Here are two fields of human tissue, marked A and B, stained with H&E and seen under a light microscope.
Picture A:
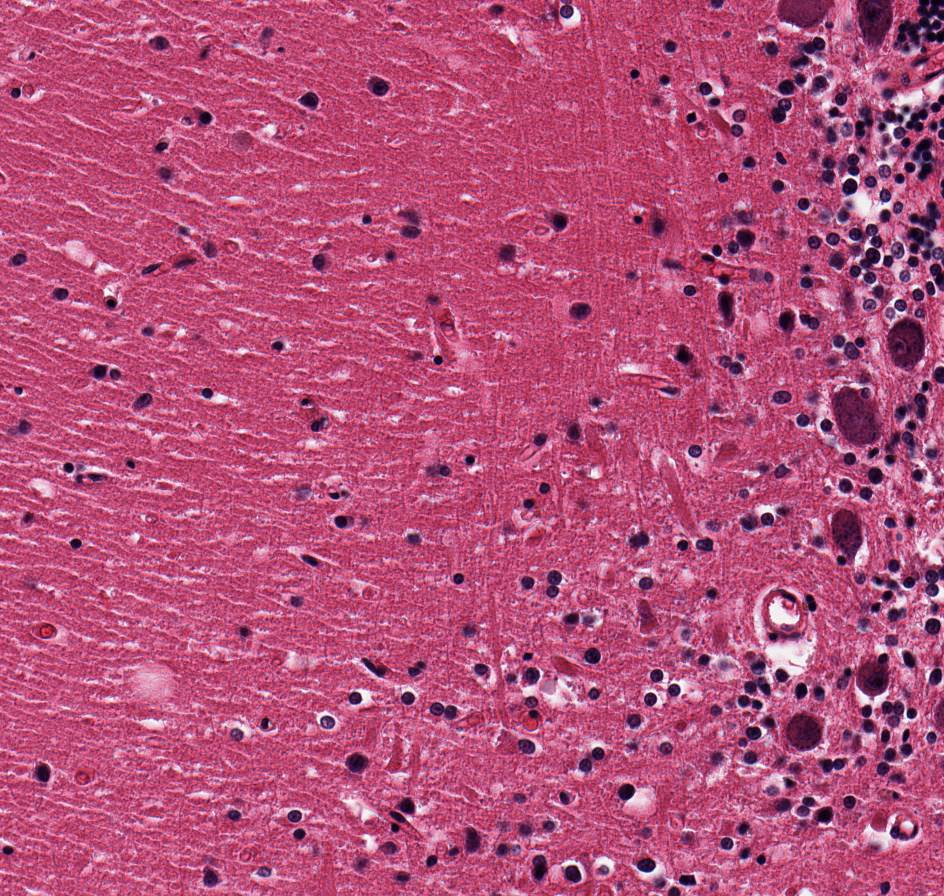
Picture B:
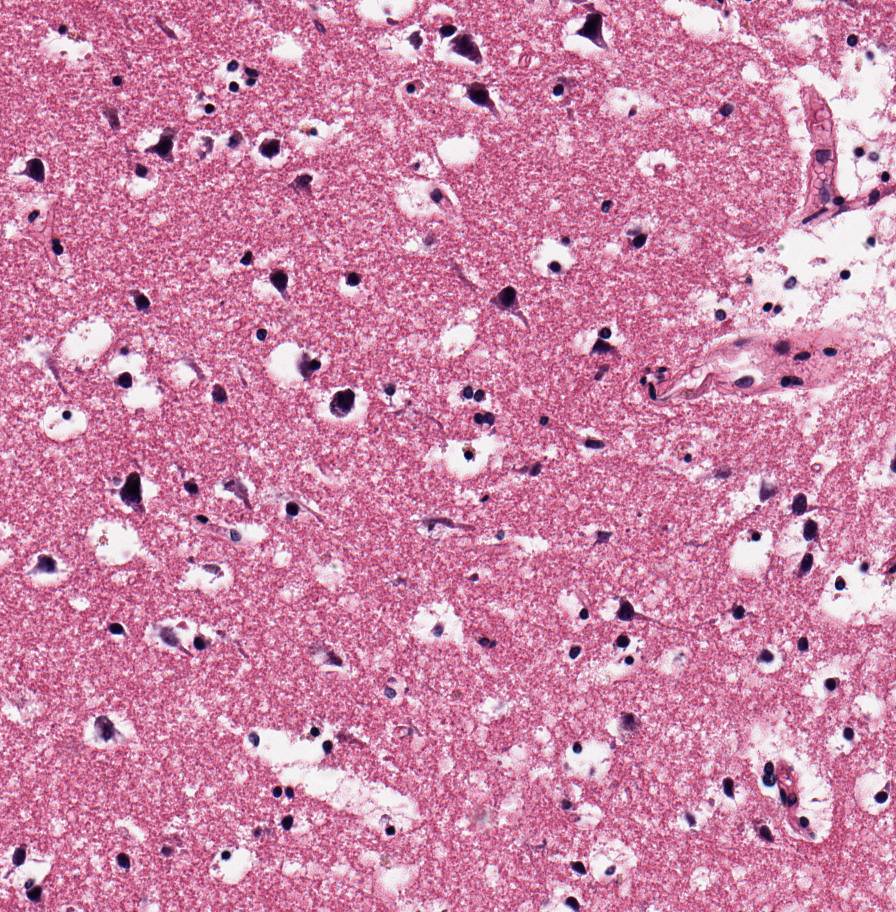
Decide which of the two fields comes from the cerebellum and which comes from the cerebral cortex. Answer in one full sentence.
Picture A comes from the cerebellum; picture B comes from the cerebral cortex.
